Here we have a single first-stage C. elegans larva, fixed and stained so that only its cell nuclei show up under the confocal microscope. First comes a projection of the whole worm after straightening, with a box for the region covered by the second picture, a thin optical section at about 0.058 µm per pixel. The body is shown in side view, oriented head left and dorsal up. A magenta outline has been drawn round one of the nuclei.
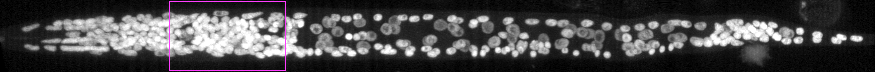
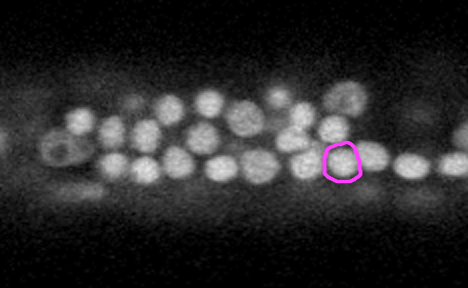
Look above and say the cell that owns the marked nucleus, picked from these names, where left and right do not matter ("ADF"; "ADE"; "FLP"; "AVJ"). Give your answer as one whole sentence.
The nucleus is from FLP, a neuron.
